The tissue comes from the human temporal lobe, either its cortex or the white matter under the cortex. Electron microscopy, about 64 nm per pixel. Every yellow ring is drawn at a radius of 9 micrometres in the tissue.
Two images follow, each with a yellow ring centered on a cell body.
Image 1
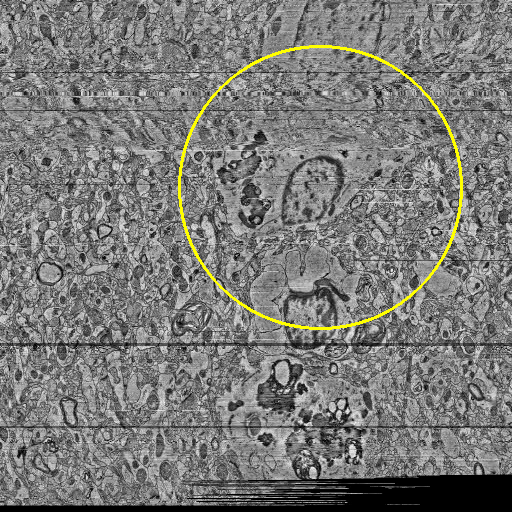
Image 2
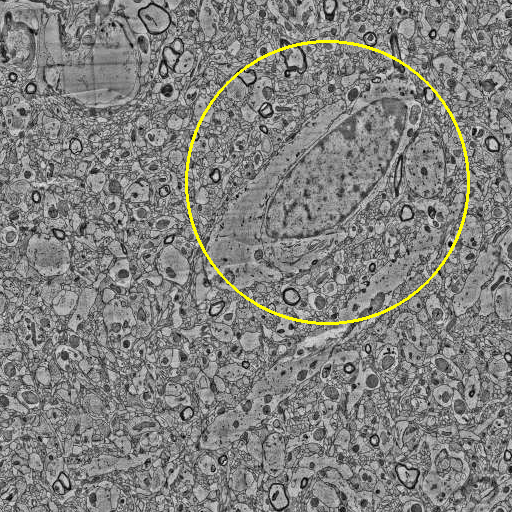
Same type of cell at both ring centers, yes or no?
no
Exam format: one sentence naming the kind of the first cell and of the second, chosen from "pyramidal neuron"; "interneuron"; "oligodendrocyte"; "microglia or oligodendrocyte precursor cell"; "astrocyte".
The first picture's cell is an astrocyte, and the second picture's cell is a microglial cell or oligodendrocyte precursor cell.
